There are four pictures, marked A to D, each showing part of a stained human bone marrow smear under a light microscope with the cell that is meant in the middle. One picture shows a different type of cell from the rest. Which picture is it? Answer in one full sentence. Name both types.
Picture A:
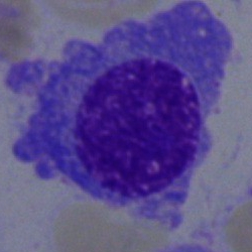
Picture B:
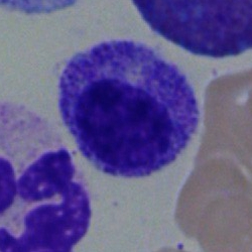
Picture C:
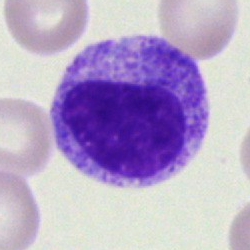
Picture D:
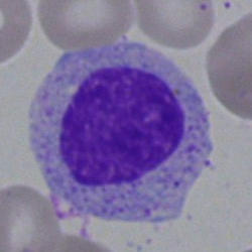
Unlike the rest, which show myelocytes, picture A shows a plasma cell.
